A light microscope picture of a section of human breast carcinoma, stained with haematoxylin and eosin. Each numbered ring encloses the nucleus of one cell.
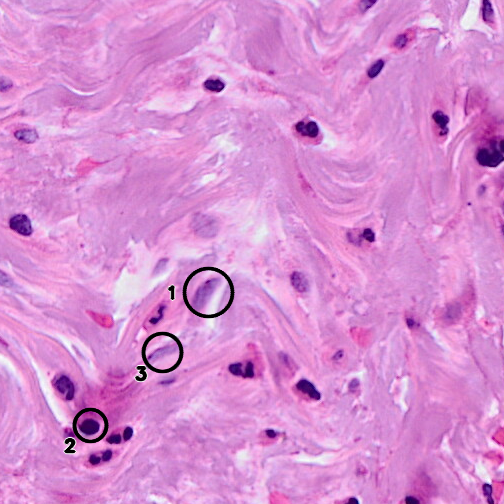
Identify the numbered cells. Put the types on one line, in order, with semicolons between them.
fibroblast; lymphocyte; fibroblast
